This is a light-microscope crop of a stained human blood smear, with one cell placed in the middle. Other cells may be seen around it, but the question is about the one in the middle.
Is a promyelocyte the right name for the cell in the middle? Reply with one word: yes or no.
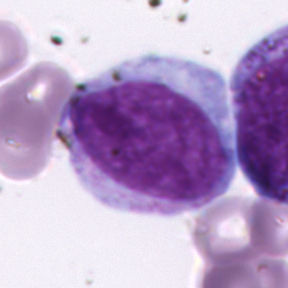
no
